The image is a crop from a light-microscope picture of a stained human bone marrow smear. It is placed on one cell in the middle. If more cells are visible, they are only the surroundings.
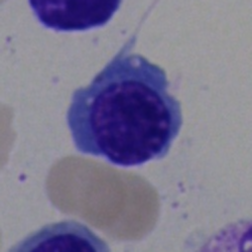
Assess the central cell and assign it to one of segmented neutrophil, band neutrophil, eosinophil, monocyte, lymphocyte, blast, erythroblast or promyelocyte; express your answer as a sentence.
The central cell shown in this smear crop is an erythroblast.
